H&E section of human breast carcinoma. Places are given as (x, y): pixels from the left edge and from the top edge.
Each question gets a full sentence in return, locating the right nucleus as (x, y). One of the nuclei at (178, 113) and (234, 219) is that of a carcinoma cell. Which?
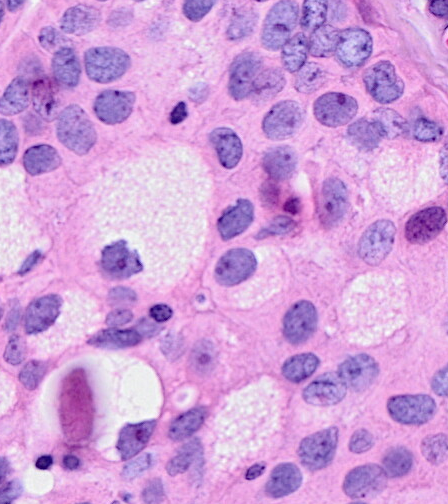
Of the two nuclei, it is the one at (234, 219) that lies within a carcinoma cell.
